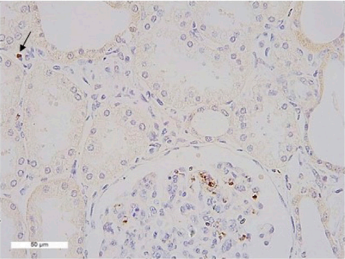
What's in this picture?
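Kidney cortex with a glomerulus at the lower edge and surrounding tubules, counterstained with blue nuclei. Several small dark brown cells lie inside the glomerular tuft, and a single brown cell sits between tubules at the upper left. The tubules are lined by cuboidal epithelial cells with round nuclei and pale cytoplasm, and several lumina are wide and filled with pale homogeneous material.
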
